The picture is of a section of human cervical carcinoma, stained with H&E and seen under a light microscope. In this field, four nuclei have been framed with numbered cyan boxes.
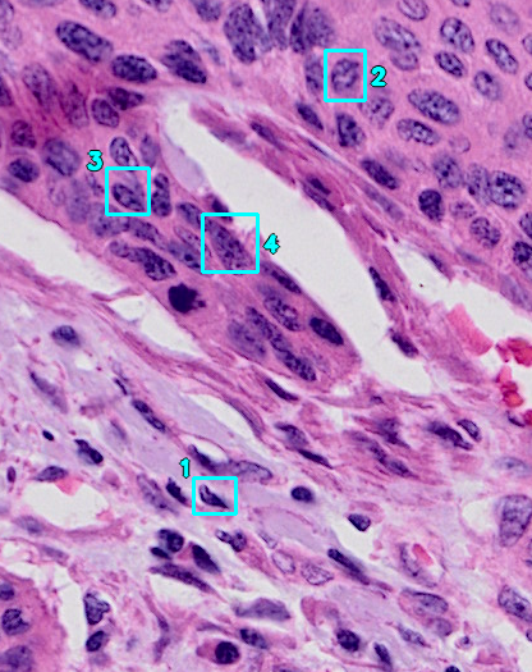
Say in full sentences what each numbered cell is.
Cell 1 is a lymphocyte, cell 2 is a squamous carcinoma cell, cell 3 is a squamous carcinoma cell and cell 4 is a squamous carcinoma cell.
